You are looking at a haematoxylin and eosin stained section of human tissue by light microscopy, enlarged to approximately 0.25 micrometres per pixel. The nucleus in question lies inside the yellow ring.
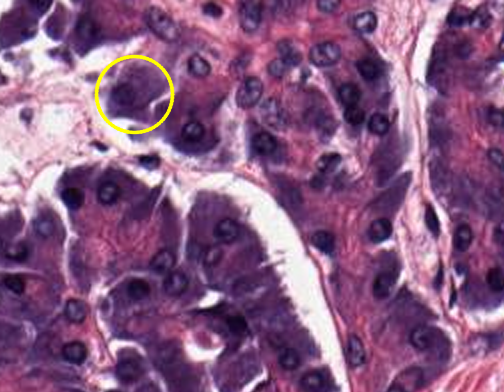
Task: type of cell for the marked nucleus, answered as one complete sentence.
In this picture it is a pancreatic acinar cell whose nucleus is marked.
